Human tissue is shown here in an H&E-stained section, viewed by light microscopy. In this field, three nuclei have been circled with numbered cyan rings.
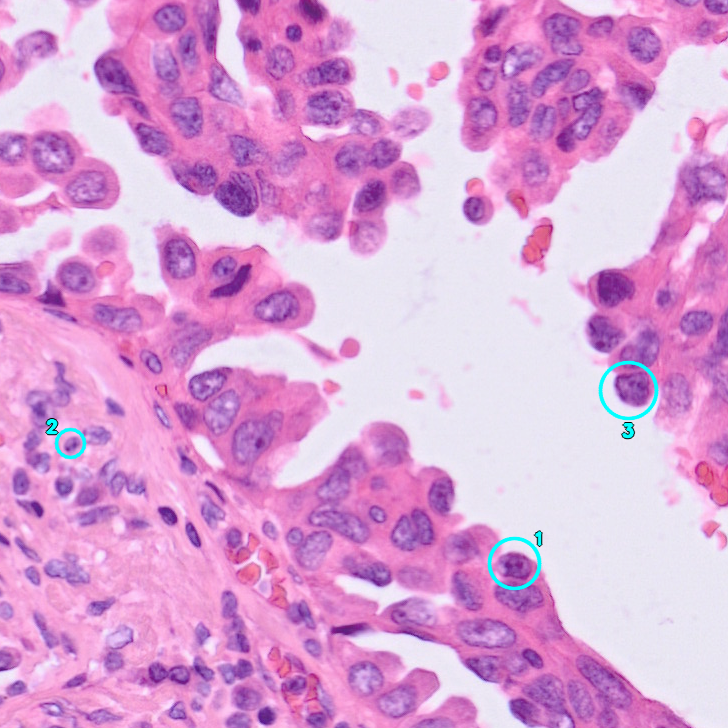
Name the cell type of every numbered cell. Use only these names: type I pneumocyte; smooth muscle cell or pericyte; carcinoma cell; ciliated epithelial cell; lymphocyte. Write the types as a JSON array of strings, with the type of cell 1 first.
["carcinoma cell", "lymphocyte", "carcinoma cell"]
